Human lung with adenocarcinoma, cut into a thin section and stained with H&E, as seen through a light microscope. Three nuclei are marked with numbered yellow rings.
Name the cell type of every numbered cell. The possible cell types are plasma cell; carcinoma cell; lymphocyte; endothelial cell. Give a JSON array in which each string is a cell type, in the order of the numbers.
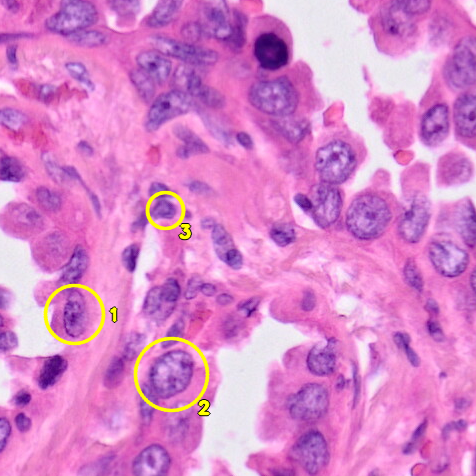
["carcinoma cell", "carcinoma cell", "lymphocyte"]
